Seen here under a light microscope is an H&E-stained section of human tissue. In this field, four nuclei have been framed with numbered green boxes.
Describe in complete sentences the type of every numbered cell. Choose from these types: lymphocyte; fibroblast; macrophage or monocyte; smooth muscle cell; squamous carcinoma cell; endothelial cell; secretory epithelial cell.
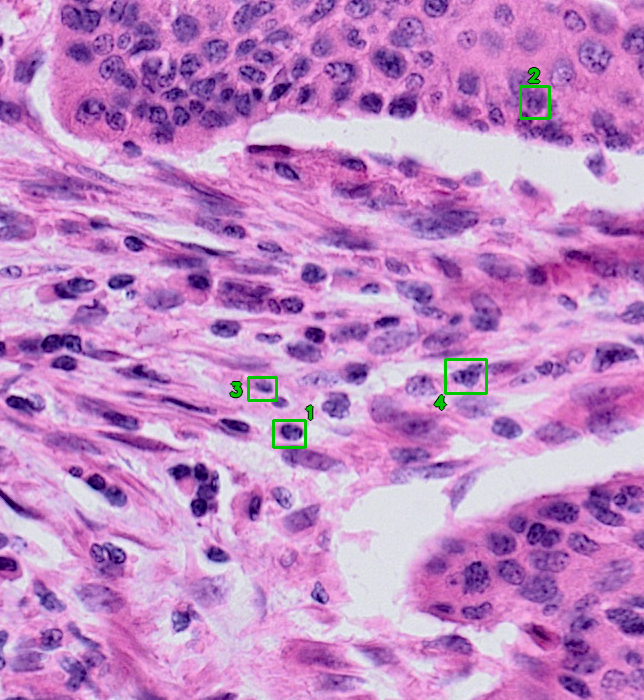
Cell 1 is a lymphocyte, cell 2 is a squamous carcinoma cell, cell 3 is a lymphocyte and cell 4 is a lymphocyte.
